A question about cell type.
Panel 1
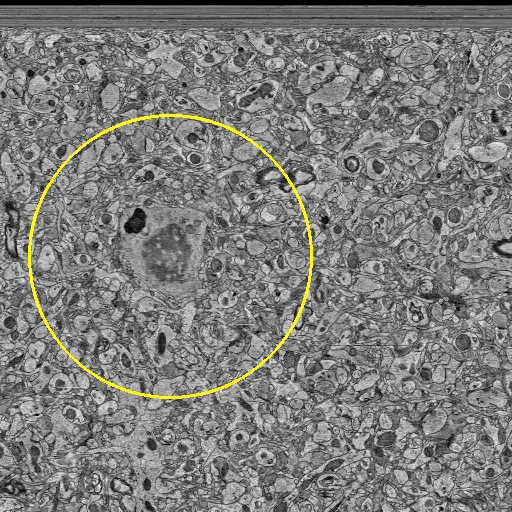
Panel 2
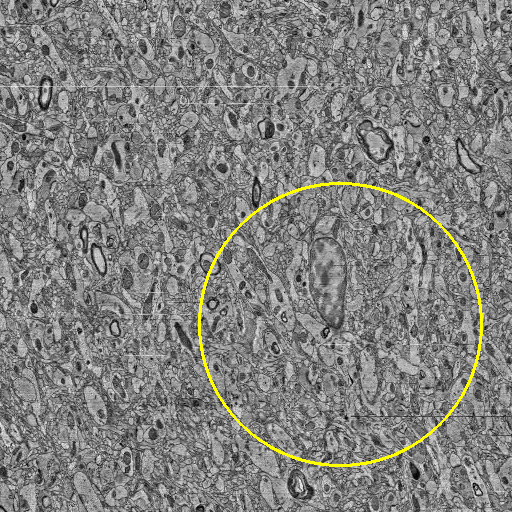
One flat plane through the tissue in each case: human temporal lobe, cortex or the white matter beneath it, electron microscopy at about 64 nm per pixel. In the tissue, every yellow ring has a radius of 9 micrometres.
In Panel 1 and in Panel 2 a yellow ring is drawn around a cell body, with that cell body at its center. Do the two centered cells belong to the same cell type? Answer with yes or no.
no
